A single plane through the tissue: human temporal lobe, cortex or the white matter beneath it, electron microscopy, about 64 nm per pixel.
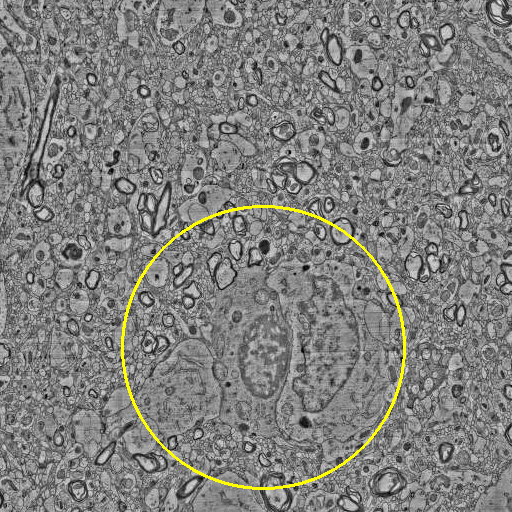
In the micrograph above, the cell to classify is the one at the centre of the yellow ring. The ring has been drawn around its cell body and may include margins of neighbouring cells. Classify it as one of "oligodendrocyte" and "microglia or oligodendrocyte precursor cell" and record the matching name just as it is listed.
oligodendrocyte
